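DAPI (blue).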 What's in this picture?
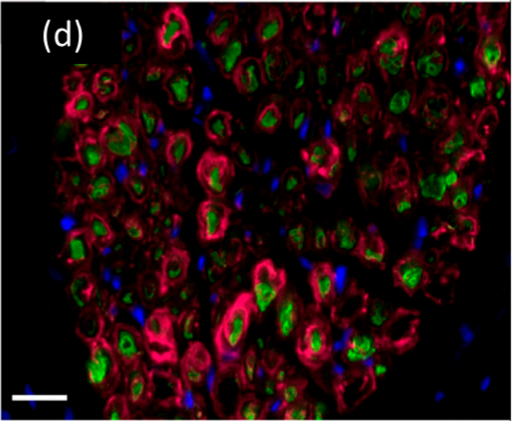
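The rings differ in thickness and size, and the fibers are packed closely but separated by dark spaces. Blue oval nuclei lie between the fibers and at the margins of the red rings. The fibers vary considerably in diameter across the field.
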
